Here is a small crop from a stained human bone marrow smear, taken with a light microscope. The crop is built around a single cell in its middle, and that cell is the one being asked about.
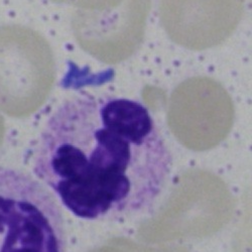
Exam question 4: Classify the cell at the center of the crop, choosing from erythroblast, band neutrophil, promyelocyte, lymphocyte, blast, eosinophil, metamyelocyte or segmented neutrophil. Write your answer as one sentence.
Seen at the centre of the crop is a segmented neutrophil.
